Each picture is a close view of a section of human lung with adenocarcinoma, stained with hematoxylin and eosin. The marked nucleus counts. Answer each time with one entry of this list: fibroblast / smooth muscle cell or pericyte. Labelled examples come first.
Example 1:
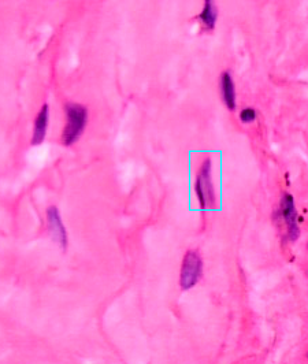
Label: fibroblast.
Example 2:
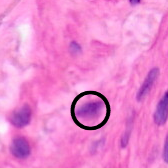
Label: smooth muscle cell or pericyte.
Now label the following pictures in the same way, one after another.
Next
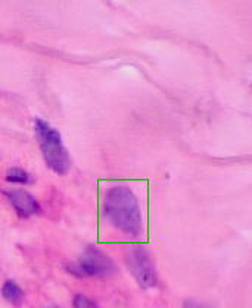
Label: fibroblast.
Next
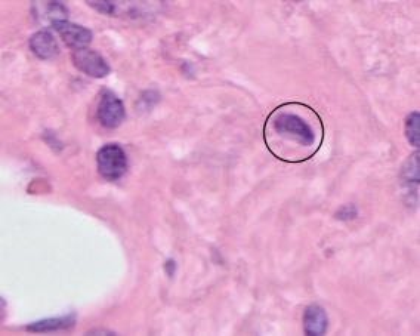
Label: fibroblast.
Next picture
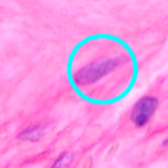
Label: smooth muscle cell or pericyte.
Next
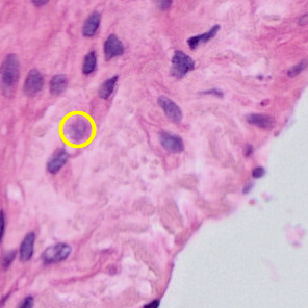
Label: smooth muscle cell or pericyte.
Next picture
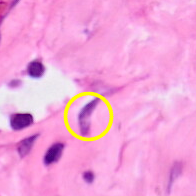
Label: fibroblast.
